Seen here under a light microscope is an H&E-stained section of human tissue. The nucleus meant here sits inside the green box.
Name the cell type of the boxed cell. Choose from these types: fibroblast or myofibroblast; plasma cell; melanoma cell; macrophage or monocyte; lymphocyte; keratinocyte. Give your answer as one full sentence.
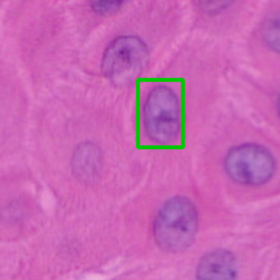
In this preparation, the boxed cell is a keratinocyte.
